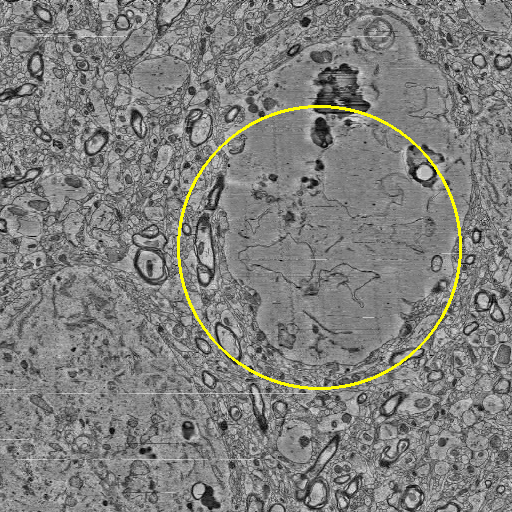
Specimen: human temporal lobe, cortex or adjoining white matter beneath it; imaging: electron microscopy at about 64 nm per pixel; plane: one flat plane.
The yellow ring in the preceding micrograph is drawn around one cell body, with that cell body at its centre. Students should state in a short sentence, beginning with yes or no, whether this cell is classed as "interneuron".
No, this cell is of another type.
